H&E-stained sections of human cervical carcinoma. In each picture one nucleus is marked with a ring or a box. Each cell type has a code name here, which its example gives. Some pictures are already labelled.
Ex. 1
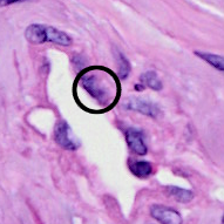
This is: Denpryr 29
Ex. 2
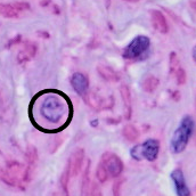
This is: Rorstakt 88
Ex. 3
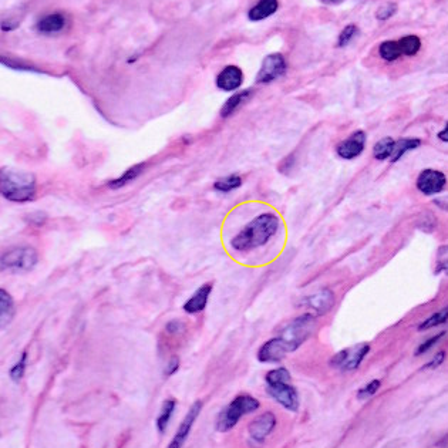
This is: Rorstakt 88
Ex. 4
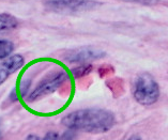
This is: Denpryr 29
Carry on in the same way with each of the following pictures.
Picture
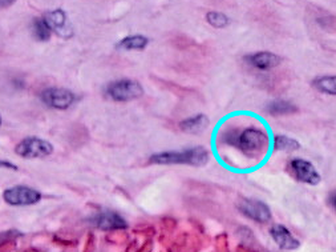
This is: Rorstakt 88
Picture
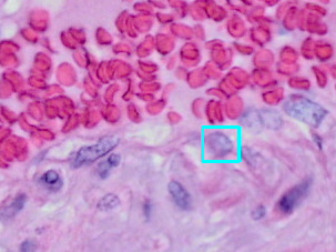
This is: Denpryr 29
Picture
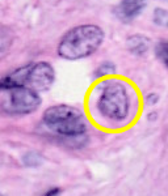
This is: Denpryr 29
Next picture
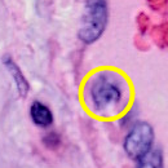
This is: Denpryr 29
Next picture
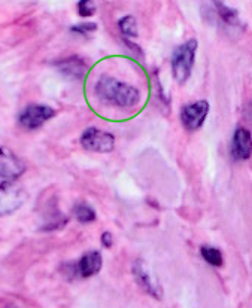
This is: Rorstakt 88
